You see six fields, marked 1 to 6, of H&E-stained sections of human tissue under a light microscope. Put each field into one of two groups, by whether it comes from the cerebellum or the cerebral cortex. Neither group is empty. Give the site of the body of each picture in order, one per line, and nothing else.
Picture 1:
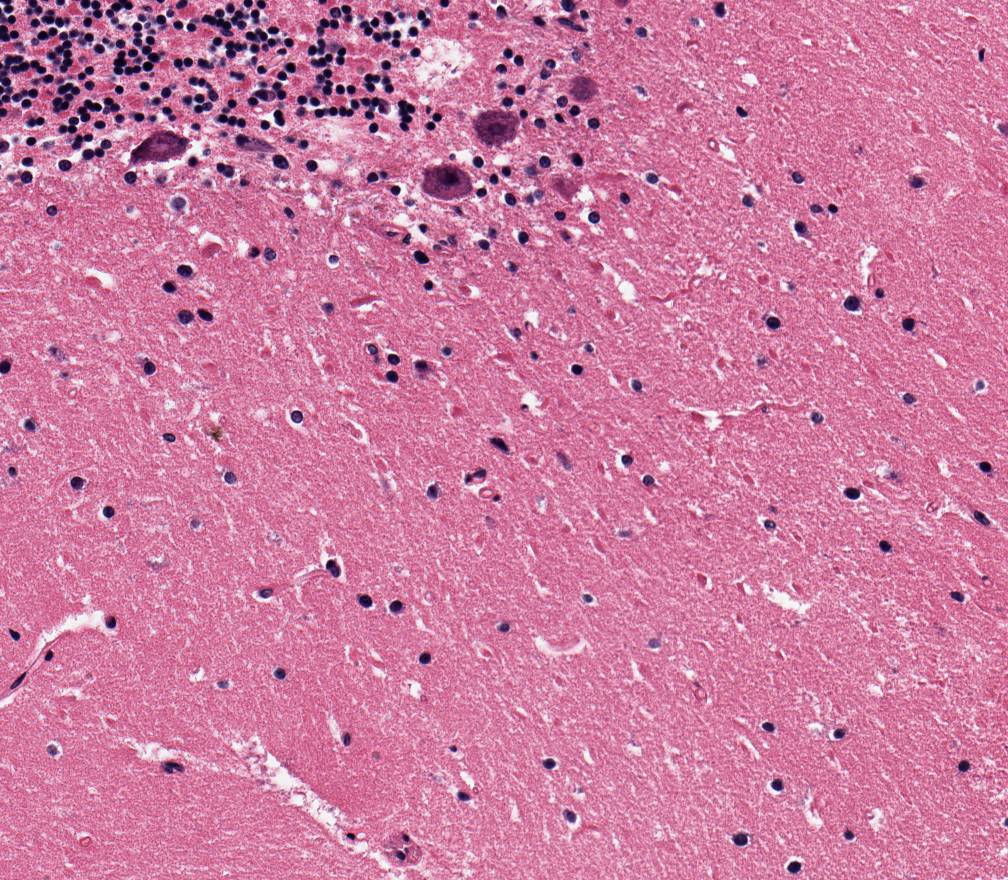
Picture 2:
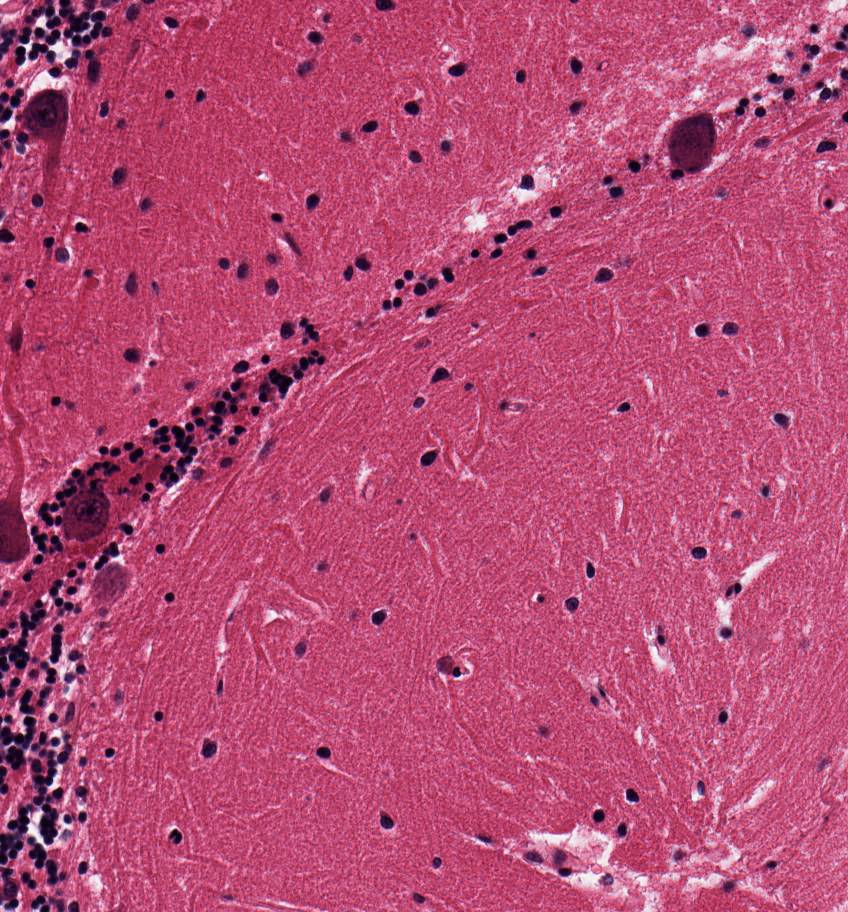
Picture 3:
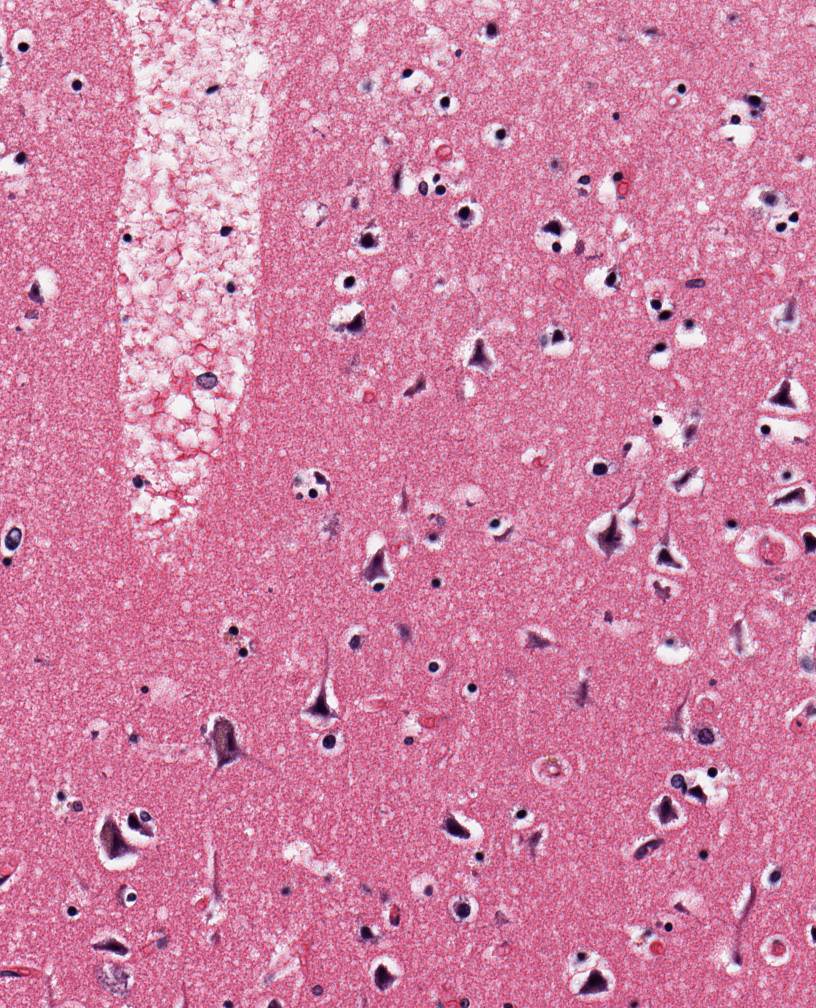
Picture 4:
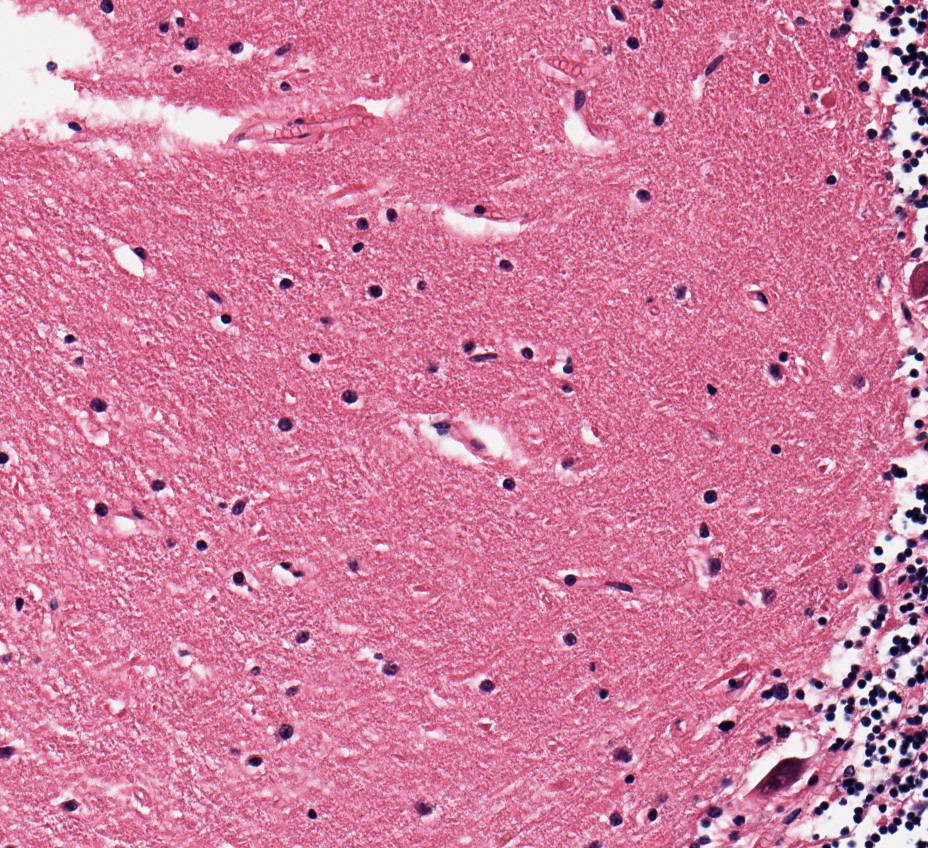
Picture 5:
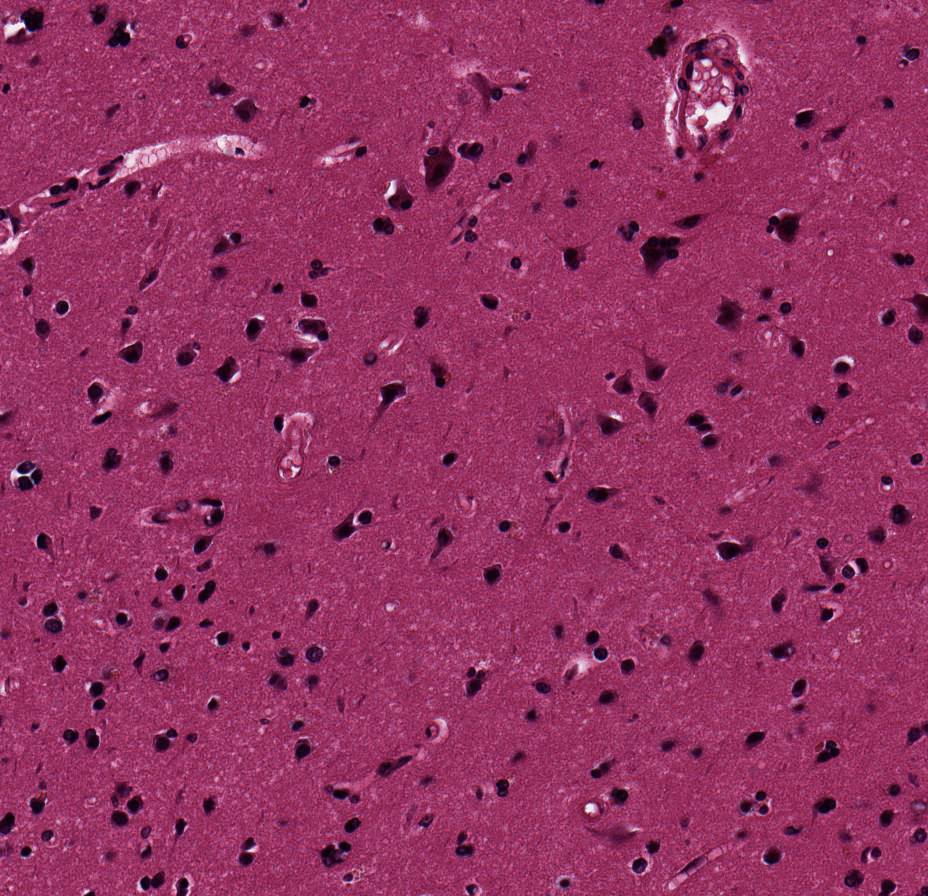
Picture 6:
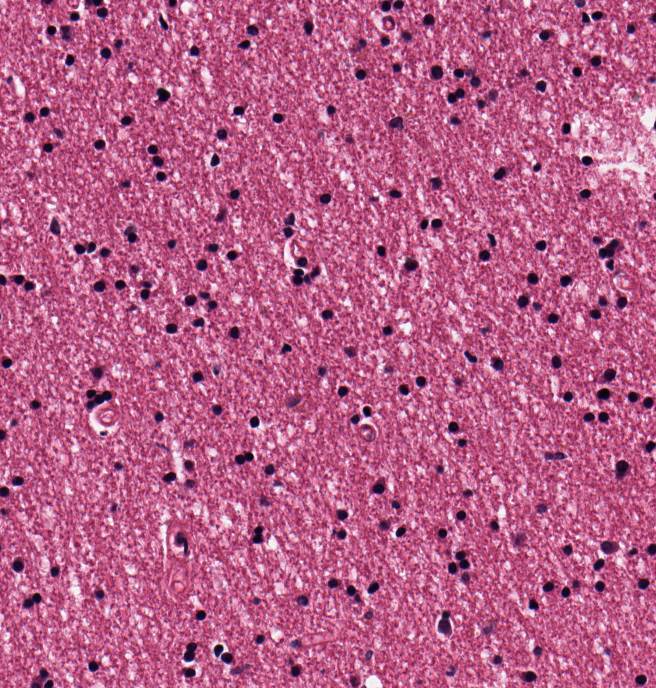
cerebellum
cerebellum
cerebral cortex
cerebellum
cerebral cortex
cerebral cortex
